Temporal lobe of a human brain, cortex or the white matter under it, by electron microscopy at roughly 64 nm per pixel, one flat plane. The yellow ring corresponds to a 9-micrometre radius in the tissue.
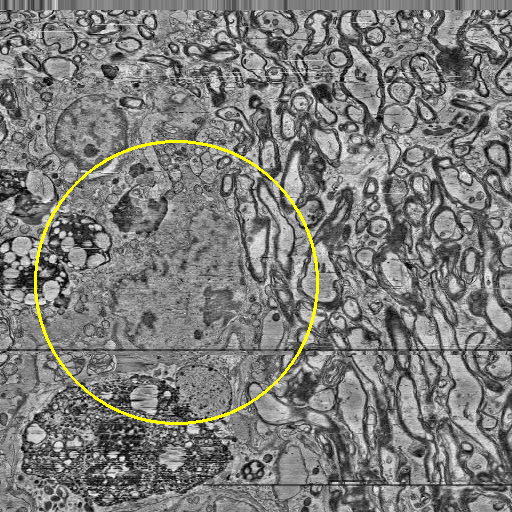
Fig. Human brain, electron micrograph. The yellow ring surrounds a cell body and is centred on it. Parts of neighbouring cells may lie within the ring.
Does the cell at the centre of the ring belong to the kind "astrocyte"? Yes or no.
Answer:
yes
